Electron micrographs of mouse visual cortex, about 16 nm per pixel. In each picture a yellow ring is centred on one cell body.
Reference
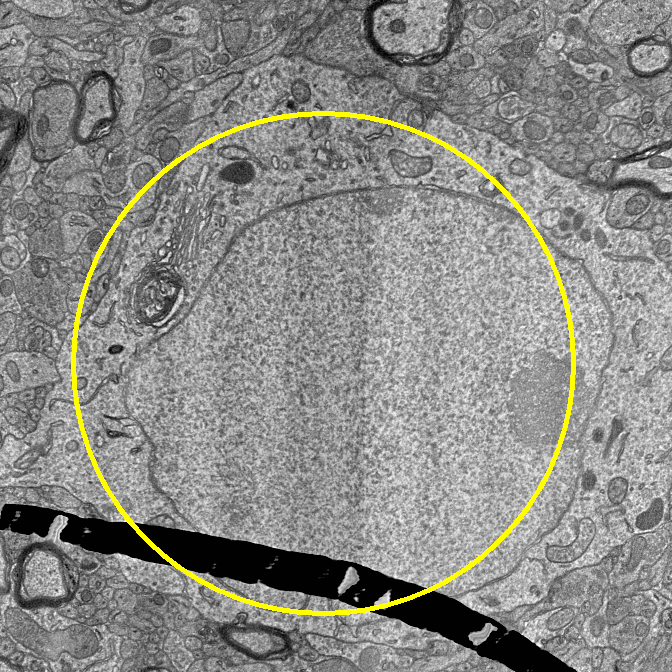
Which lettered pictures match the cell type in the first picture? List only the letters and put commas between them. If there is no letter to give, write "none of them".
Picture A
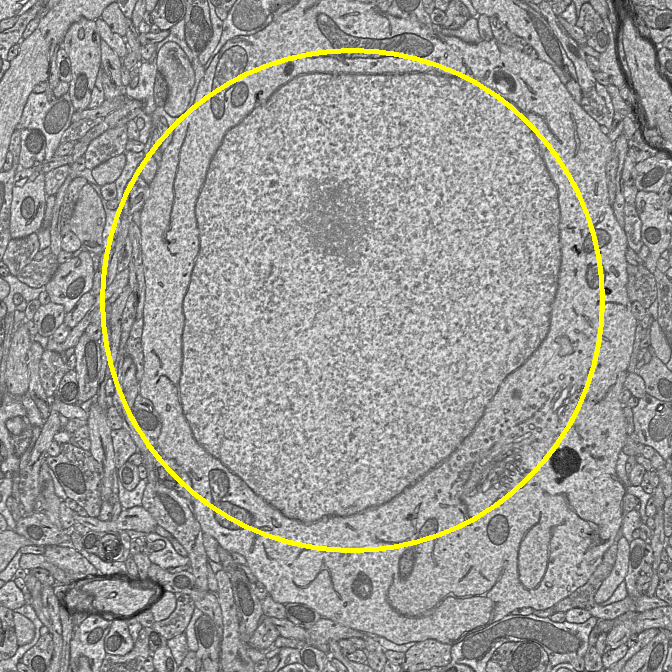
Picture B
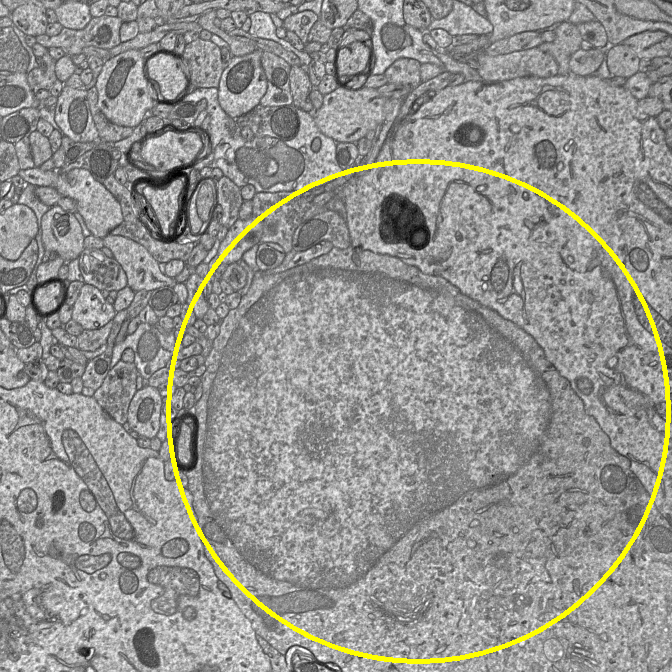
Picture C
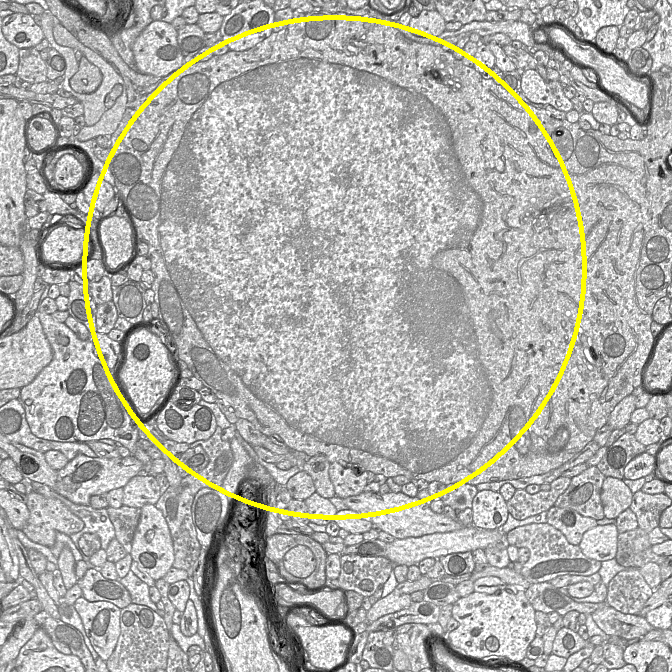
A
